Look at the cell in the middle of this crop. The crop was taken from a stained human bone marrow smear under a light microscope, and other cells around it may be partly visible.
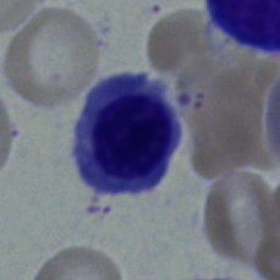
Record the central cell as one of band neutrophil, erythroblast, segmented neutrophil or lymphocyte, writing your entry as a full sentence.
Here the cell in the middle is an erythroblast.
